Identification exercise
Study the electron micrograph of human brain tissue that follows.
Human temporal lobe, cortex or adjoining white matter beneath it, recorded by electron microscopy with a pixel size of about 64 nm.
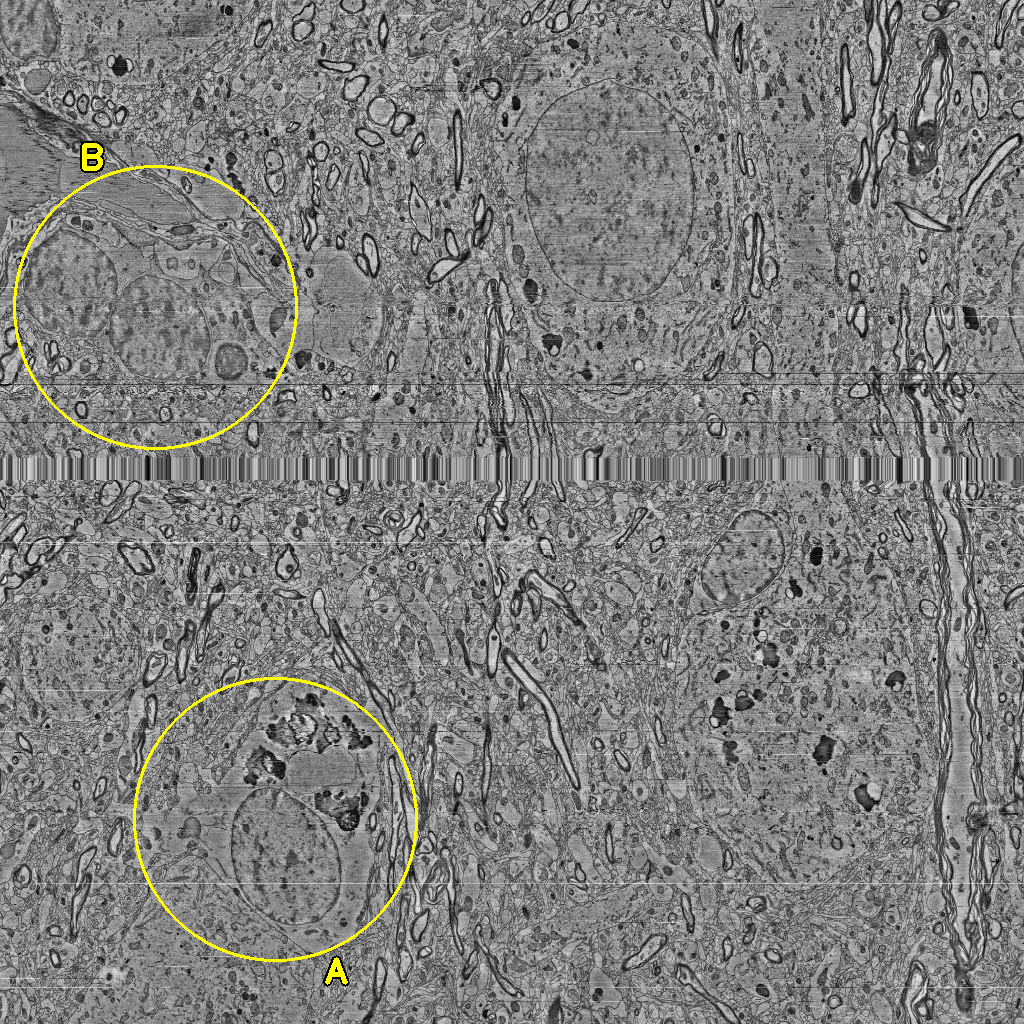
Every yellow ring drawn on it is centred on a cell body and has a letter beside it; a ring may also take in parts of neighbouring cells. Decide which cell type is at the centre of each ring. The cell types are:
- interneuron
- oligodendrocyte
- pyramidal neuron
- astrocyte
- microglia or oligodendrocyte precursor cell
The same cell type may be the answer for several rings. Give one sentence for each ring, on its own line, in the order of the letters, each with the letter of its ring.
Ring A encircles an astrocyte.
Ring B encircles an oligodendrocyte.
